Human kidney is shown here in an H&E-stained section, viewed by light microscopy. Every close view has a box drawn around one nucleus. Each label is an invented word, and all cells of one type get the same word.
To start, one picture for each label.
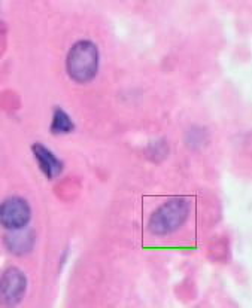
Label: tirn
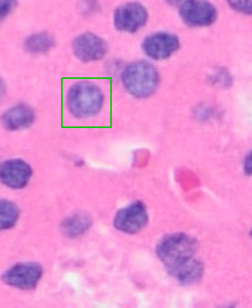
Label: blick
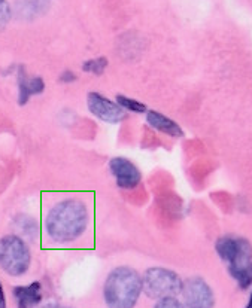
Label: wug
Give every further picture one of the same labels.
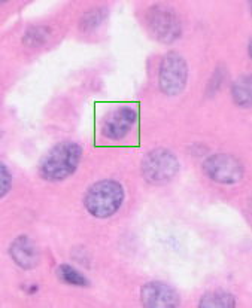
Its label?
blick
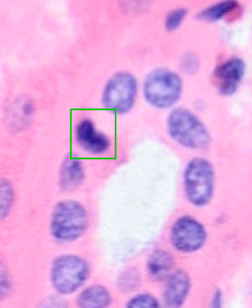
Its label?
wug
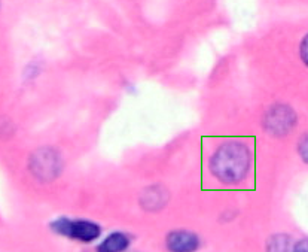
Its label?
tirn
